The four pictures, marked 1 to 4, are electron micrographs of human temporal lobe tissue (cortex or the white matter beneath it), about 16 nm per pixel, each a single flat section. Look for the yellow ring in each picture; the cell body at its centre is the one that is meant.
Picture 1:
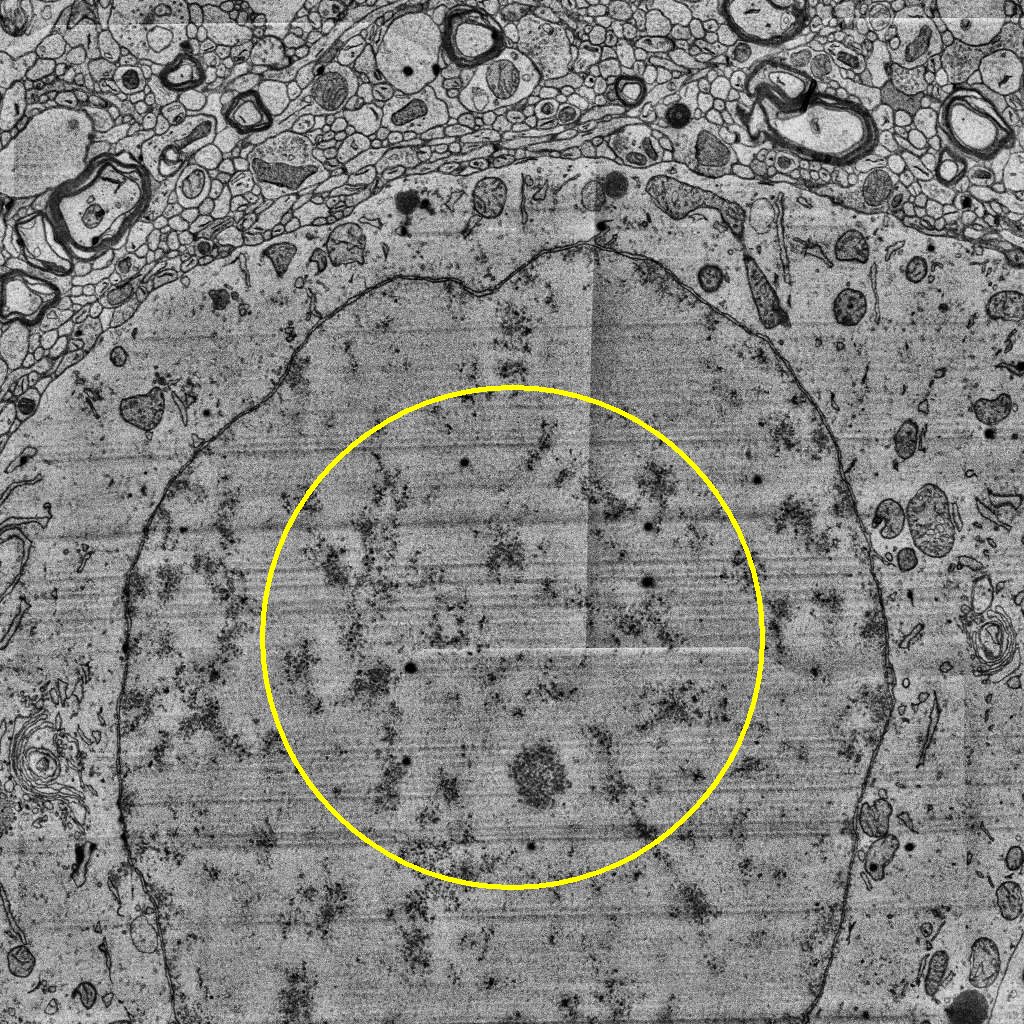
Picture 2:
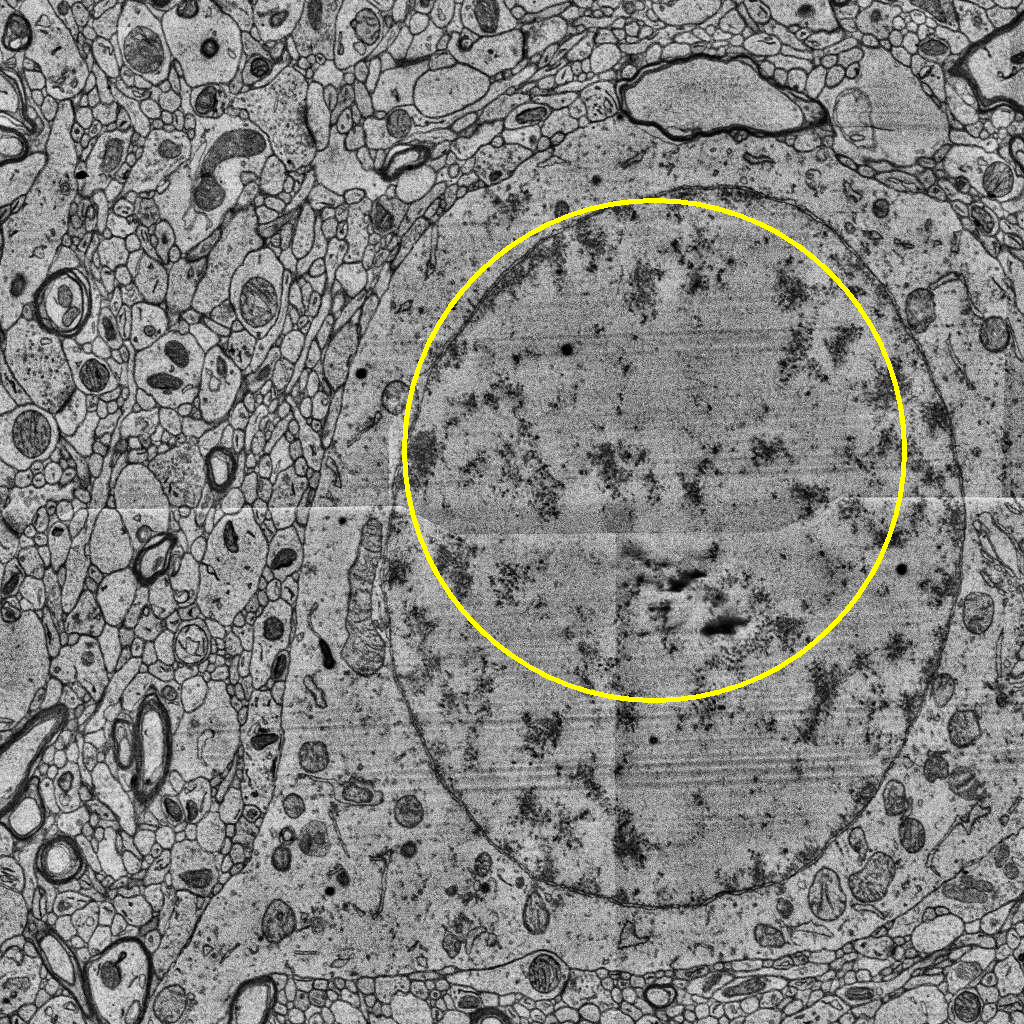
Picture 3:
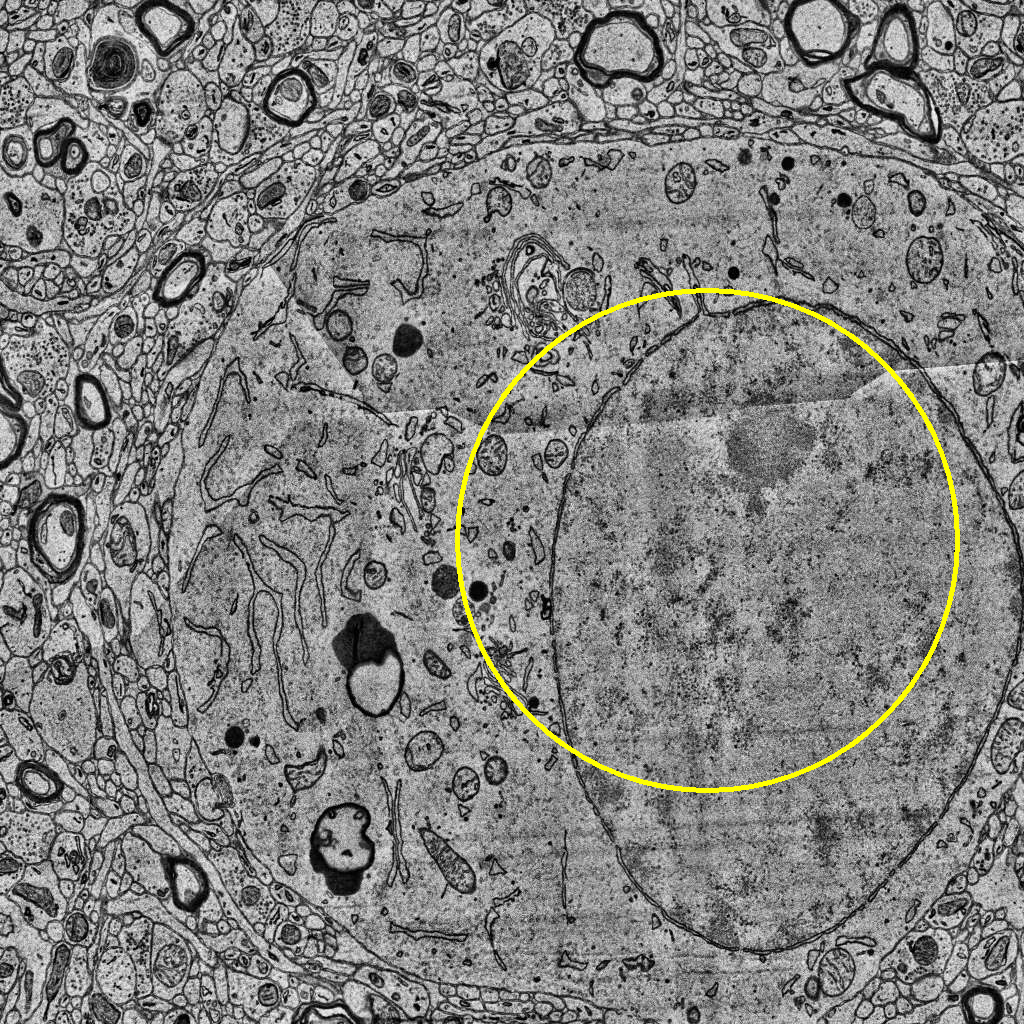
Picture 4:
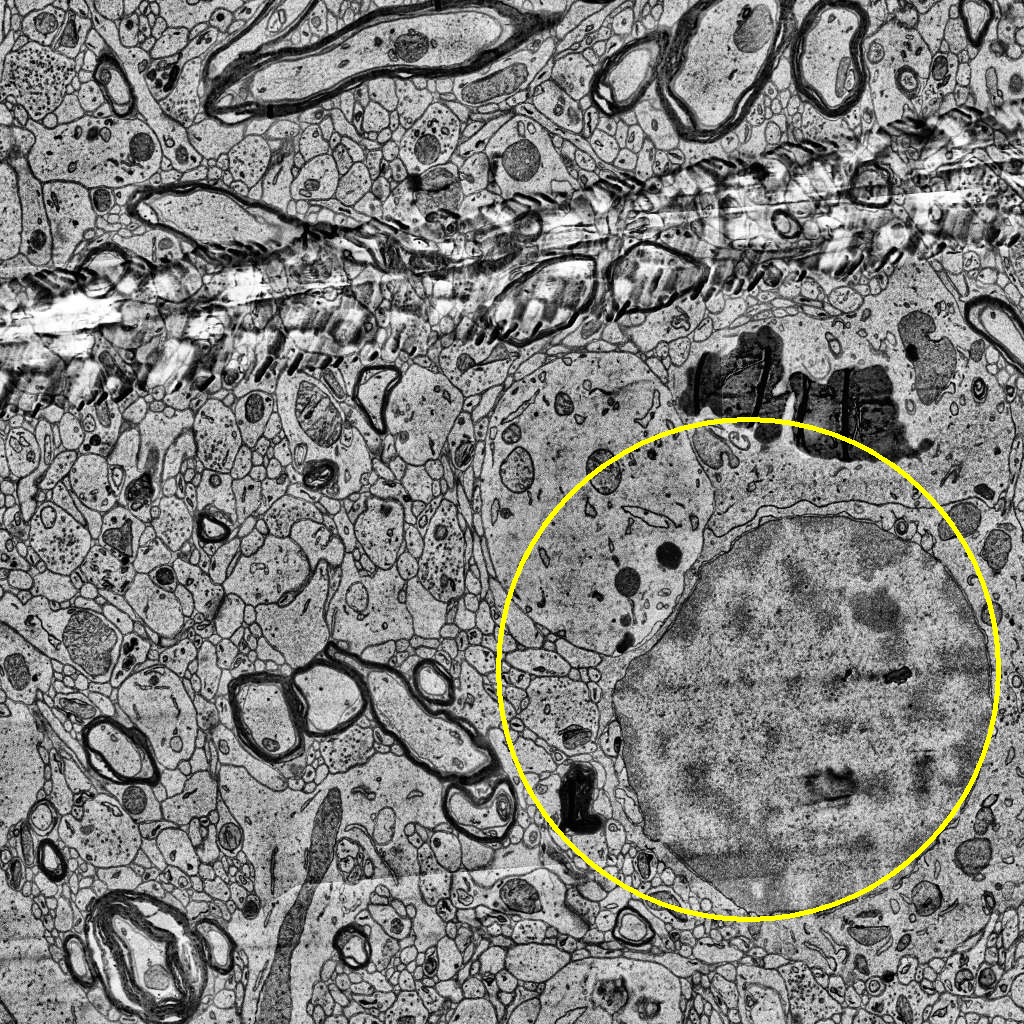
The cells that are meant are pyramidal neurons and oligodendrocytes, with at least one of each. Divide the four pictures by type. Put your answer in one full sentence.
Pictures 1, 2 and 3 show pyramidal neurons, and picture 4 shows an oligodendrocyte.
